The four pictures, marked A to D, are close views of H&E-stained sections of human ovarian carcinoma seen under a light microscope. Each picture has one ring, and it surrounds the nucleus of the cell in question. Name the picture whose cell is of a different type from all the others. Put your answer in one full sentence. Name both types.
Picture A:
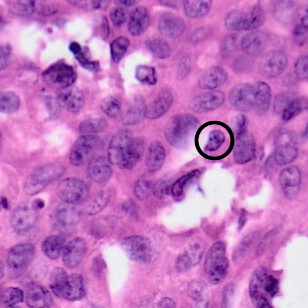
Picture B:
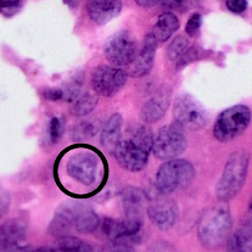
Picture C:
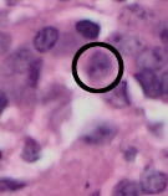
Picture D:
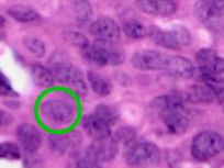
Picture D differs, because its cell is a carcinoma cell and the rest are “macrophages or monocytes”.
